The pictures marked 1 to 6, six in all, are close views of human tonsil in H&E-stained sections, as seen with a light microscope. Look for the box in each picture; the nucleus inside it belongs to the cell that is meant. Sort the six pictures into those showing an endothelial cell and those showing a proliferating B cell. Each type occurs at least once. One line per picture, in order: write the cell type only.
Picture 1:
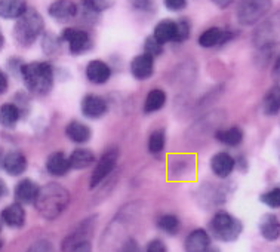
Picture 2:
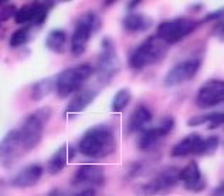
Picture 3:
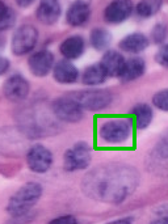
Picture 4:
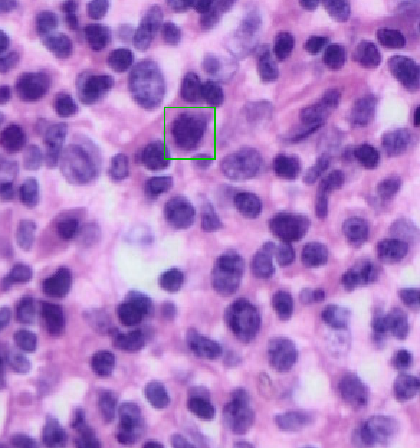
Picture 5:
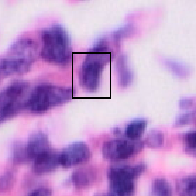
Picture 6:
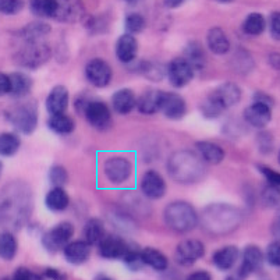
endothelial cell
proliferating B cell
endothelial cell
proliferating B cell
proliferating B cell
endothelial cell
